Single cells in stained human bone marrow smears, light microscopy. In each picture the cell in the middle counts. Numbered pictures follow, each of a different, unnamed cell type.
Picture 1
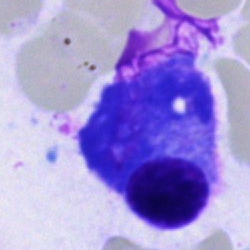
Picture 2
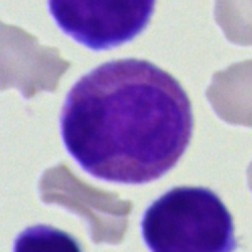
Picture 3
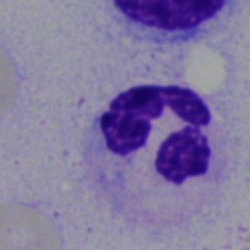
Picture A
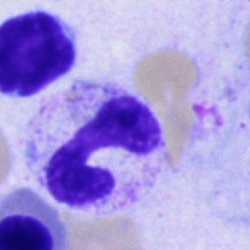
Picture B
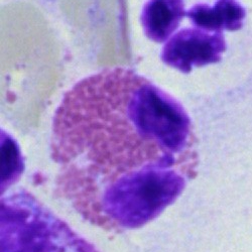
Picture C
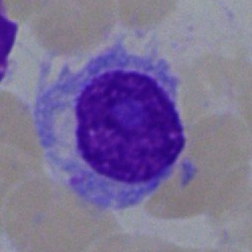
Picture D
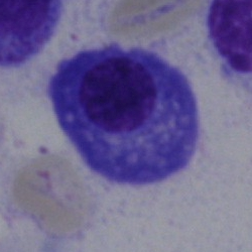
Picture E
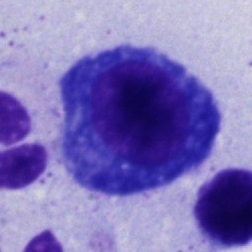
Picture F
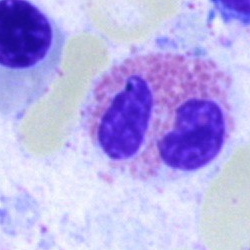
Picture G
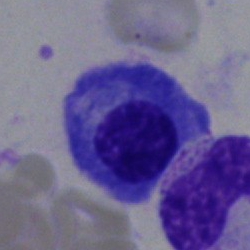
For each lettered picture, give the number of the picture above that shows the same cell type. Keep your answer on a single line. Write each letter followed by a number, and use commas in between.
A 3, B 2, C 1, D 1, E 1, F 2, G 1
